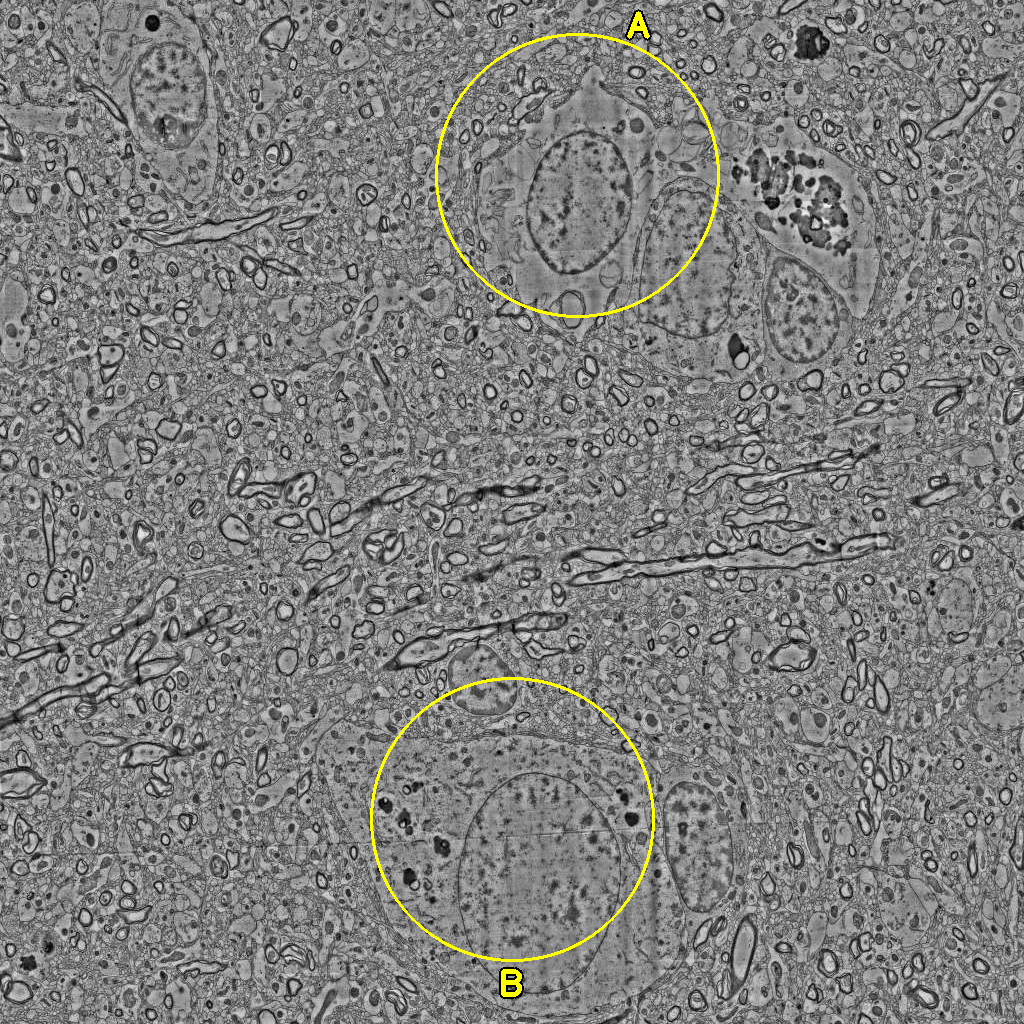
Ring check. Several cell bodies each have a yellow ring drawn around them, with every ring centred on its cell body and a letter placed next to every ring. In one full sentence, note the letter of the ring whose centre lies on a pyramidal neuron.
At the centre of ring B lies the cell asked for in this check.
